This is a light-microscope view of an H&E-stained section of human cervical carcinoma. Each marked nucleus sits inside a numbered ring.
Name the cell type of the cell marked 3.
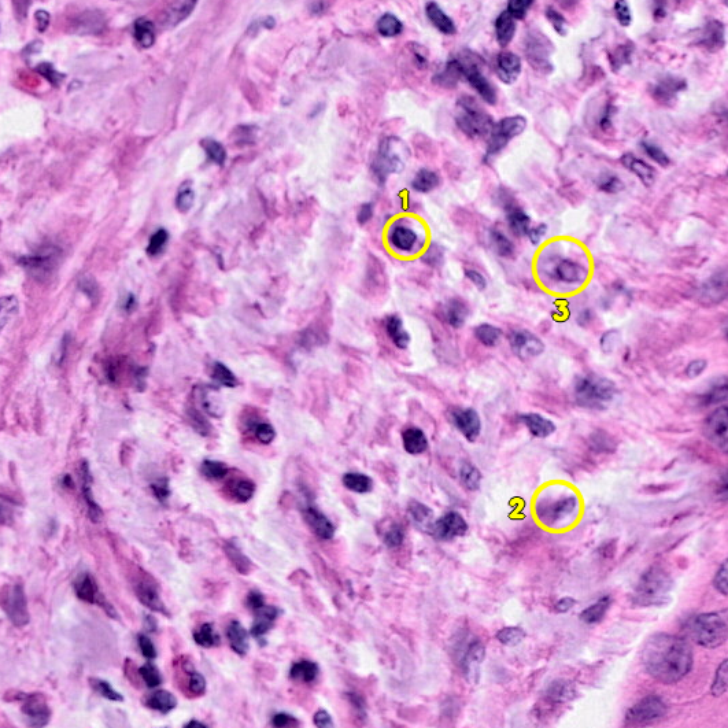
fibroblast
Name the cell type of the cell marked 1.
lymphocyte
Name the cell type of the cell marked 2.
fibroblast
